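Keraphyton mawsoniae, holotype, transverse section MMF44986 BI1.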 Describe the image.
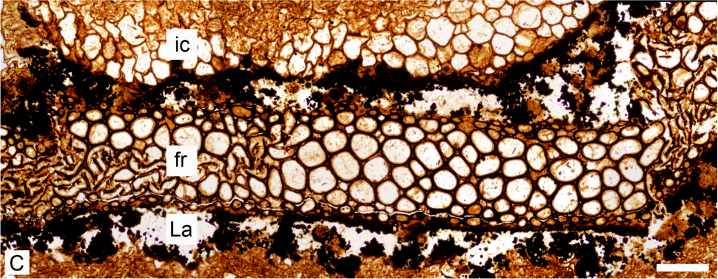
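A long band of empty, polygonal cells with thick, dark walls runs across the middle, the cells large in its centre and smaller toward its left end, where walls become crumpled. Above lies a layer of rounded, pale, thin-walled cells, fairly intact. Between and below the band are dark opaque masses and a clear cavity. The band is a rib of xylem made of tracheids, wide in the middle and small at the lateral edges; the cells above are well-preserved inner cortical cells, and the cavity below is a lacuna.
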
